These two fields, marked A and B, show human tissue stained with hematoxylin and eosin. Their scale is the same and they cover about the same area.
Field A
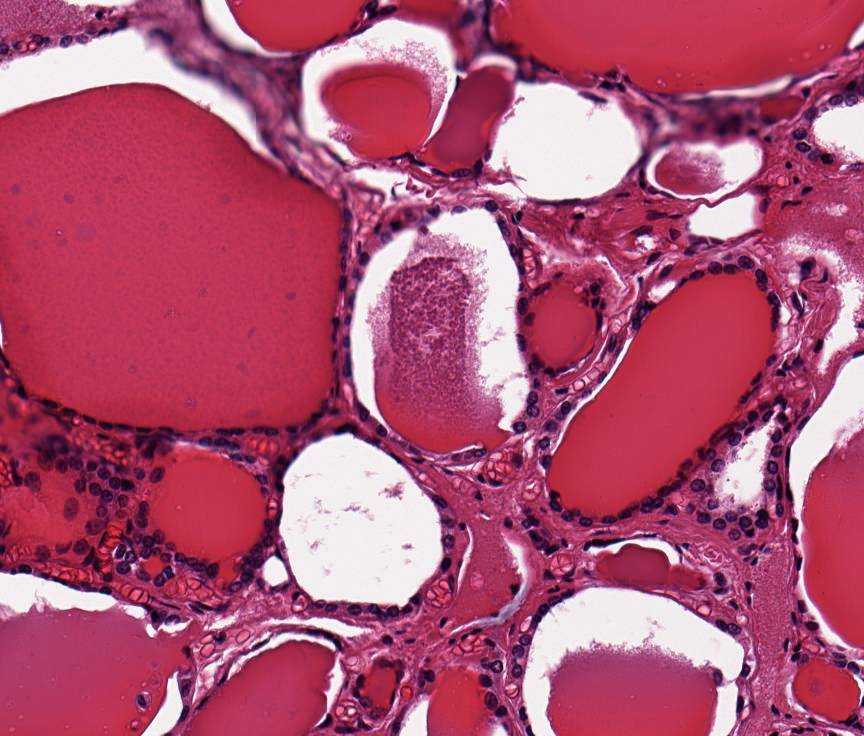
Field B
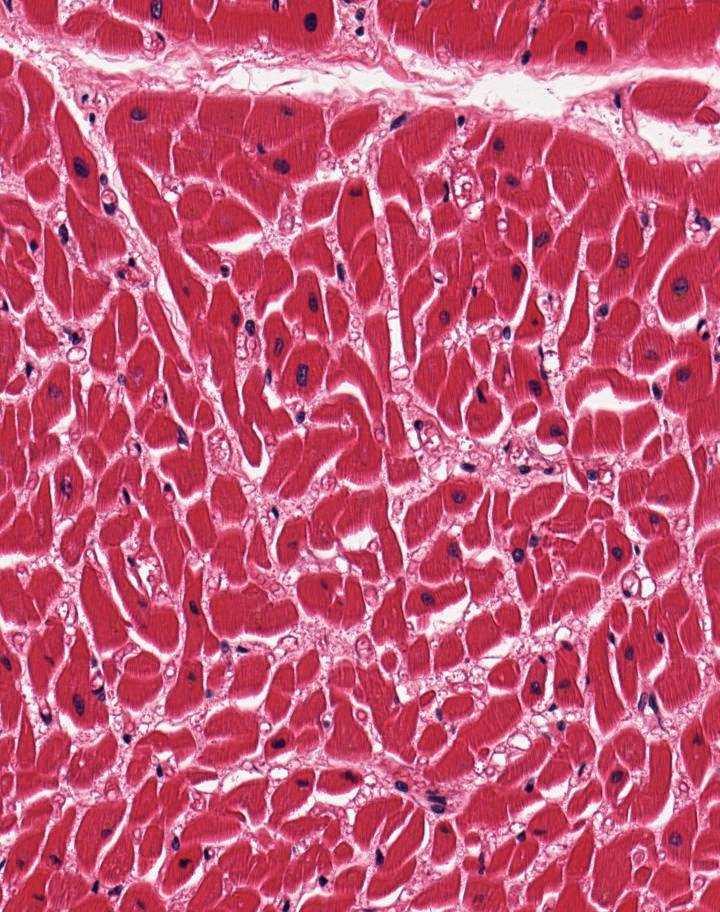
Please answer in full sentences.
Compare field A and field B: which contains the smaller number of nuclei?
Field B holds fewer nuclei than field A.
